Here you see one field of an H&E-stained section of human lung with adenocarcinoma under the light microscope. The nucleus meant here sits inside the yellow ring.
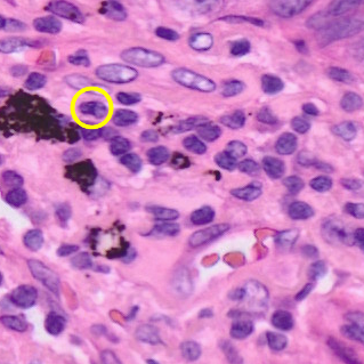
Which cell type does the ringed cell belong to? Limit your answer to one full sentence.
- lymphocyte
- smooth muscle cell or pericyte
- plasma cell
On this particular slide, the ringed cell is a lymphocyte.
